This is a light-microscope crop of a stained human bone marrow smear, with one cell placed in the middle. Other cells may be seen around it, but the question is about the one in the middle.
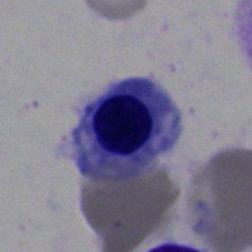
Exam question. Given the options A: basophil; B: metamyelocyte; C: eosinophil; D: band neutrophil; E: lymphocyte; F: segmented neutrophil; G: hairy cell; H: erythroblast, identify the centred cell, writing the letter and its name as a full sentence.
Option H is to be chosen, as the central cell is an erythroblast.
